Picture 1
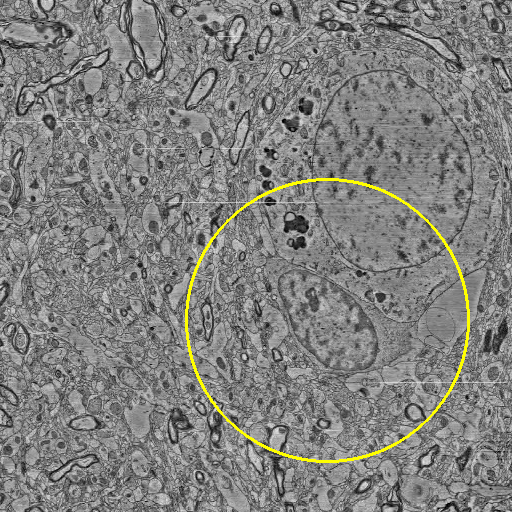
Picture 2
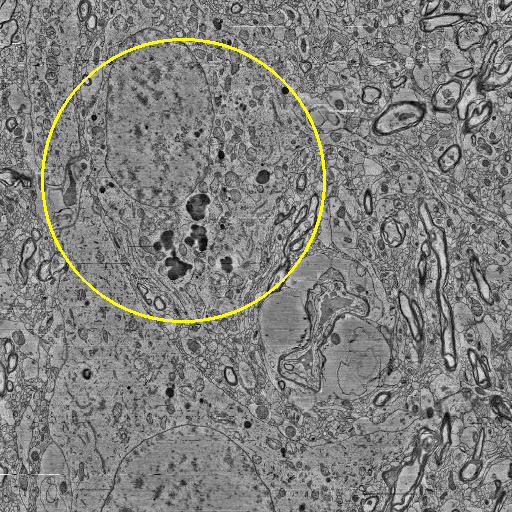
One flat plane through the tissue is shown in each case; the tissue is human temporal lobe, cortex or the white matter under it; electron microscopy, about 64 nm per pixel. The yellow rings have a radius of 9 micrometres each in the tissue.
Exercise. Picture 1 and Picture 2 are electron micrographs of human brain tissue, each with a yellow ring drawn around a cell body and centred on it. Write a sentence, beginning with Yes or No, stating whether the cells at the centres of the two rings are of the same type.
No, the cells at the centres of the rings are of two types.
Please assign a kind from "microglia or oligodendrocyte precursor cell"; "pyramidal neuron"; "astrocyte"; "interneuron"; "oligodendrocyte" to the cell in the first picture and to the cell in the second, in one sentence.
In the first picture we have an oligodendrocyte, and in the second, an interneuron.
